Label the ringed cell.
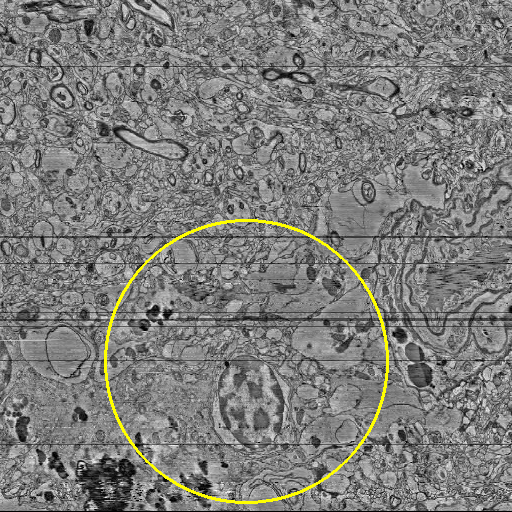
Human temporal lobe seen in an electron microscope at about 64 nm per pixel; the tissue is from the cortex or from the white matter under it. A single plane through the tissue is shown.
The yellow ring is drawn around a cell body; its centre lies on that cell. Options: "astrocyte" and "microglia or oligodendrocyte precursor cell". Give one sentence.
The ringed cell is a microglial cell or oligodendrocyte precursor cell.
